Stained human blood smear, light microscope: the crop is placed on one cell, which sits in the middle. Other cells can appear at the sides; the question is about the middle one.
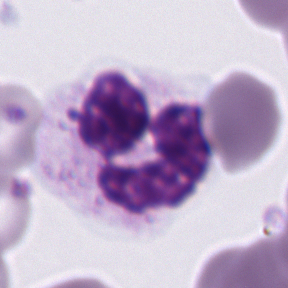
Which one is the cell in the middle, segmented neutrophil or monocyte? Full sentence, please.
The central cell, amid any neighbouring cells, is a segmented neutrophil.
